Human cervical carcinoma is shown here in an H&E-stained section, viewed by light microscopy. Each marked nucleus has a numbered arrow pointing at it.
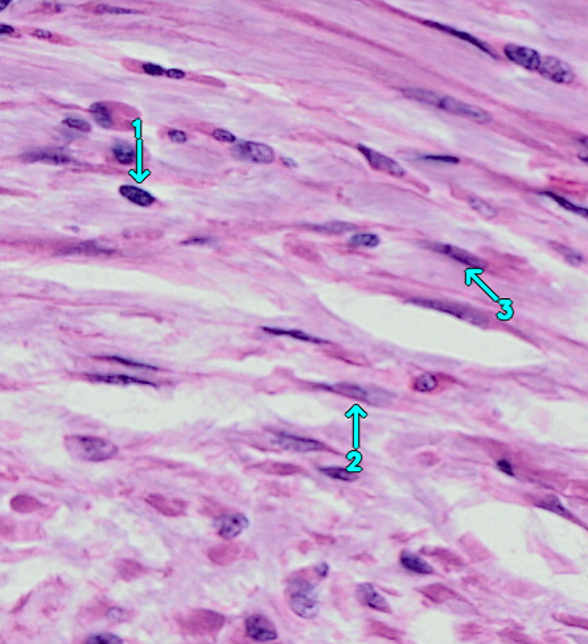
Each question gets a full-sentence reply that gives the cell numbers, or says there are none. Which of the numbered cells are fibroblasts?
The identity of cells 2 and 3: they are fibroblasts.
